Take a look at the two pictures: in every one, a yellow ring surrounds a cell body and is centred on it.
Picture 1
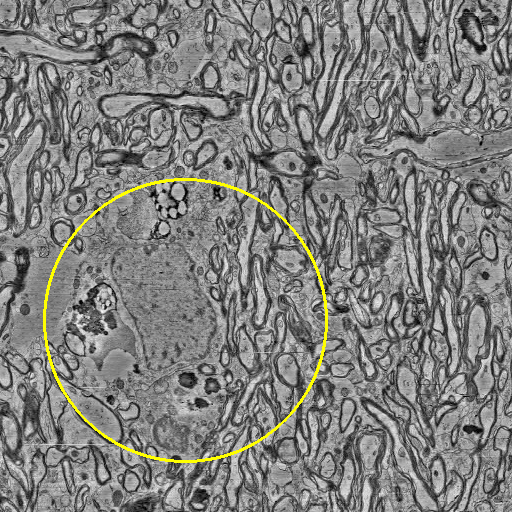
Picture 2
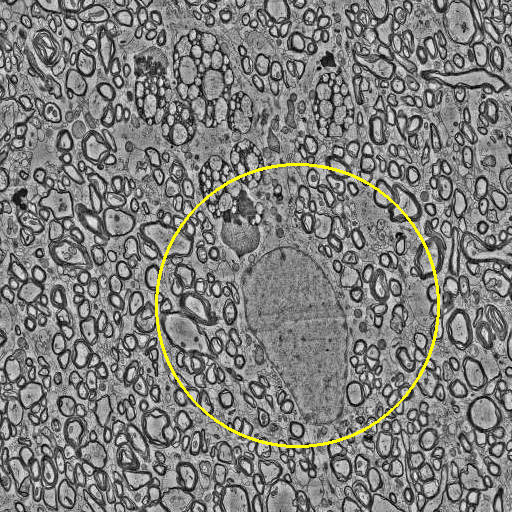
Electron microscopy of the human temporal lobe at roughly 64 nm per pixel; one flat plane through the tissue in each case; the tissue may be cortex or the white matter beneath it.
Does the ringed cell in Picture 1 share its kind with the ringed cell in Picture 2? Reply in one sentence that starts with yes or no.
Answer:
Yes, the two centred cells, one per picture, are of one kind.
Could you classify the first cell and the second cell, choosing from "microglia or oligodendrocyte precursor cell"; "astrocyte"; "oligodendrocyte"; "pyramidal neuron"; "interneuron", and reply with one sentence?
In each of the two pictures, the ringed cell is an astrocyte.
